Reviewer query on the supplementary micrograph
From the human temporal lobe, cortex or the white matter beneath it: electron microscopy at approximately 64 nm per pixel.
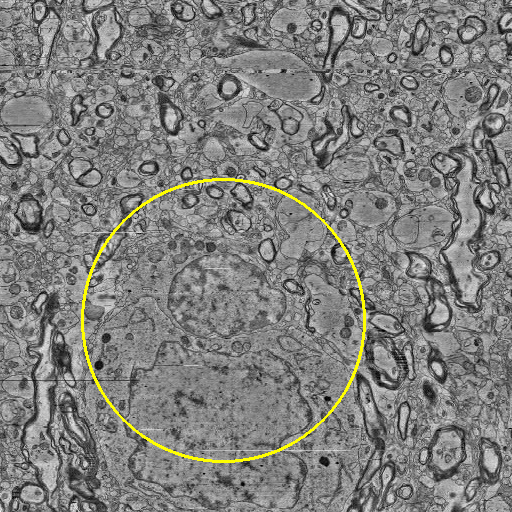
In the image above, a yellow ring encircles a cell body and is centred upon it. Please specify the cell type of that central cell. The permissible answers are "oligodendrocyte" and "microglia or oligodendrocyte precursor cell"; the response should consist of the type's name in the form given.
oligodendrocyte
